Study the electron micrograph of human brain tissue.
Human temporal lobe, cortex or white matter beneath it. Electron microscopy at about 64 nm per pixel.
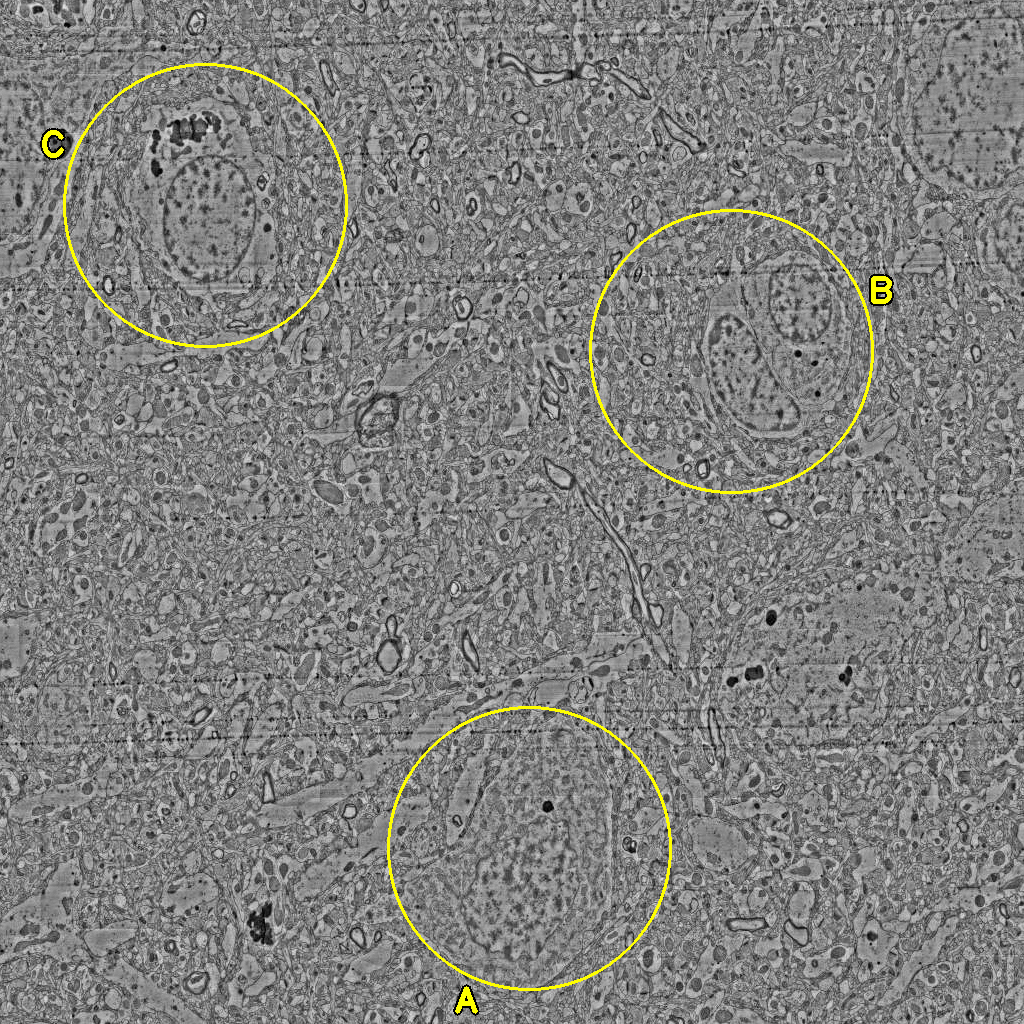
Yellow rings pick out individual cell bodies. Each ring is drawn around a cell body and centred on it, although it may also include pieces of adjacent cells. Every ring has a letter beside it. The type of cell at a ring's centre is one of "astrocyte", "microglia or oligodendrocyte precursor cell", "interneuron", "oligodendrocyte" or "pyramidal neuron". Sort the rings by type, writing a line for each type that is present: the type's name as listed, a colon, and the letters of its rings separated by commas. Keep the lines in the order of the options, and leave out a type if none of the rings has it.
astrocyte: C
microglia or oligodendrocyte precursor cell: B
interneuron: A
